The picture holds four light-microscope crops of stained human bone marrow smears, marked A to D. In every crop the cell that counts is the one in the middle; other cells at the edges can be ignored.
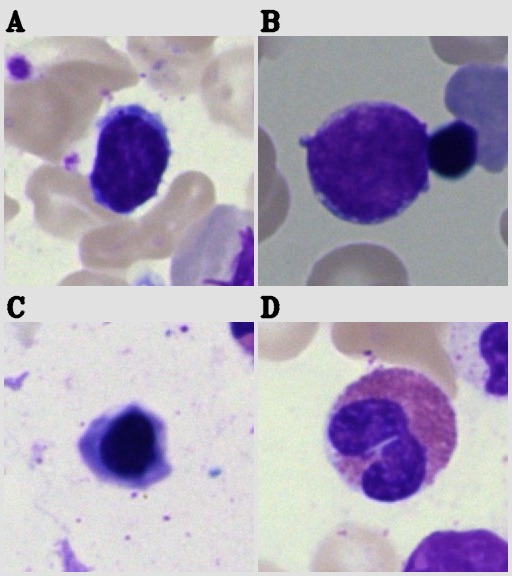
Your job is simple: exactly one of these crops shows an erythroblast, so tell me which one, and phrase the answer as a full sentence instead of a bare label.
Crop C, of the crops presented, is the one showing an erythroblast.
